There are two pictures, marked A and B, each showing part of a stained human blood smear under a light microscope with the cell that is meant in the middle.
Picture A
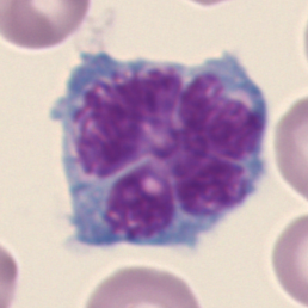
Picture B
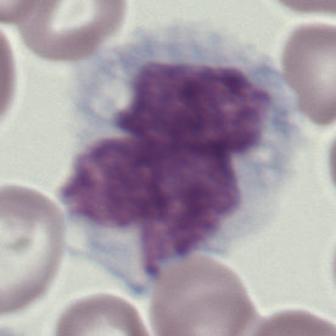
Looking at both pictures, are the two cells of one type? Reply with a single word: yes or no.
yes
